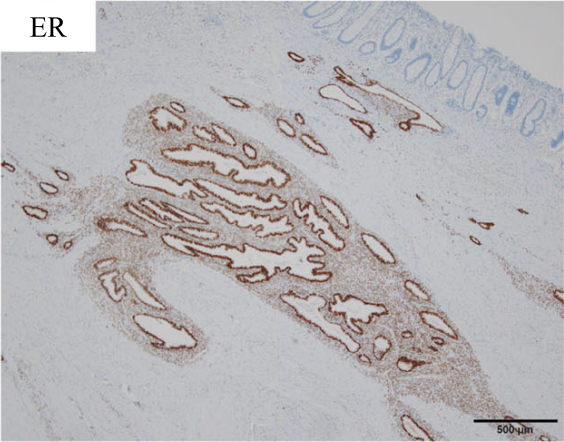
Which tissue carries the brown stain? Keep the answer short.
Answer: Endometrial glands and stroma.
